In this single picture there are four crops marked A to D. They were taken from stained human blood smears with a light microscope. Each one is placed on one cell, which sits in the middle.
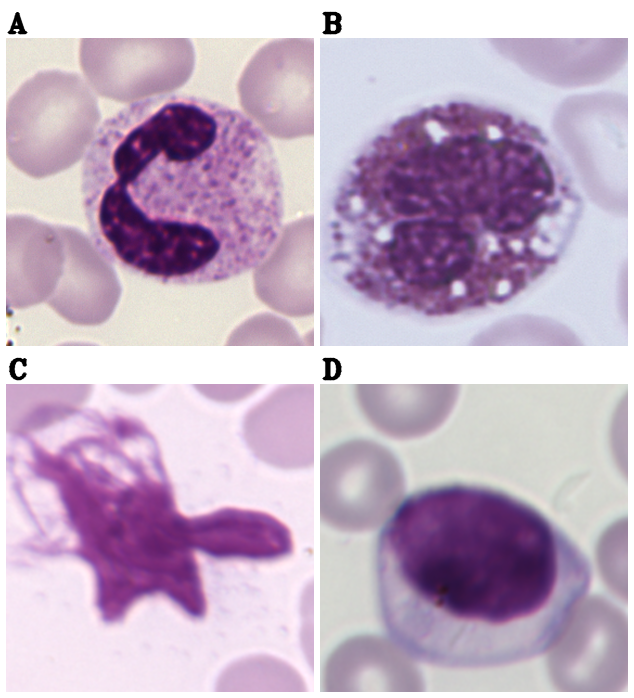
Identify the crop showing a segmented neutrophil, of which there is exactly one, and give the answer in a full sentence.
Only in crop A is a segmented neutrophil shown.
